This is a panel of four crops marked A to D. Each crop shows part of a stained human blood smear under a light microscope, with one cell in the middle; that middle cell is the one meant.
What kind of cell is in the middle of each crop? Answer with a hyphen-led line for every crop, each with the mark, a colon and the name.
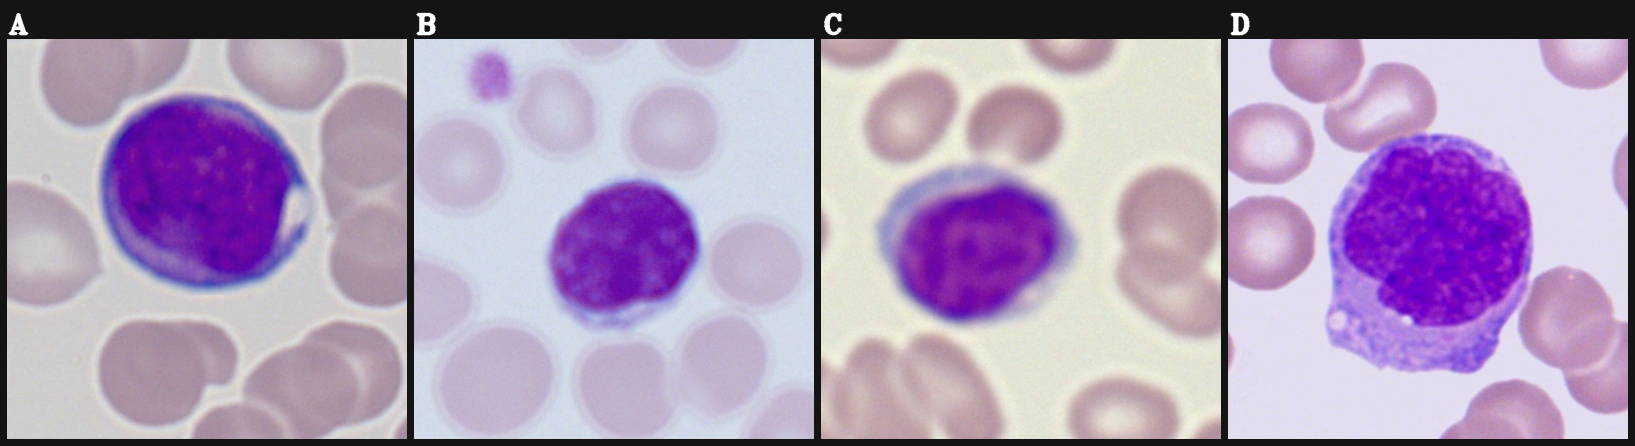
- A: myeloblast
- B: lymphocyte
- C: lymphocyte
- D: myeloblast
